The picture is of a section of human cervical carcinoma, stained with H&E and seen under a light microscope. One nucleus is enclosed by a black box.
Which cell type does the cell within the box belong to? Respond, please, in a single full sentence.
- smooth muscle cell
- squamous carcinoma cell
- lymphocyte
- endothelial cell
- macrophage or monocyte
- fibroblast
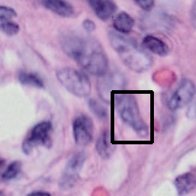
In this section, the cell within the box is an endothelial cell.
